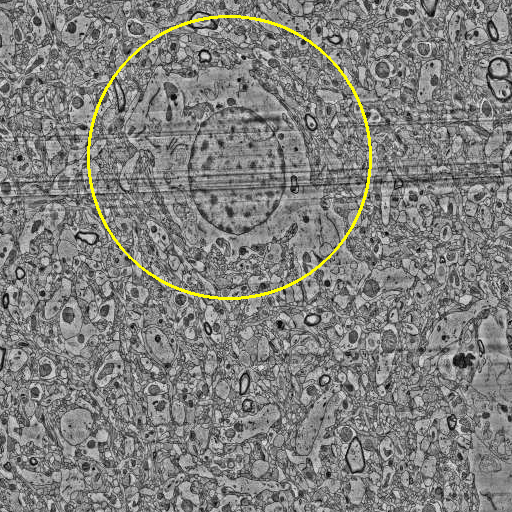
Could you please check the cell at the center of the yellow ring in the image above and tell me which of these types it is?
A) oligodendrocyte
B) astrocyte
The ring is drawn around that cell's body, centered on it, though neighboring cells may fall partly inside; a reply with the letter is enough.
B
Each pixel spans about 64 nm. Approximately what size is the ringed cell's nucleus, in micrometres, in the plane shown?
Approximately 8 by 6 micrometers in this plane.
